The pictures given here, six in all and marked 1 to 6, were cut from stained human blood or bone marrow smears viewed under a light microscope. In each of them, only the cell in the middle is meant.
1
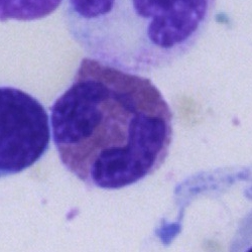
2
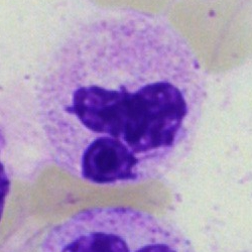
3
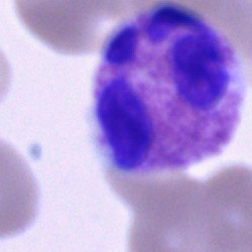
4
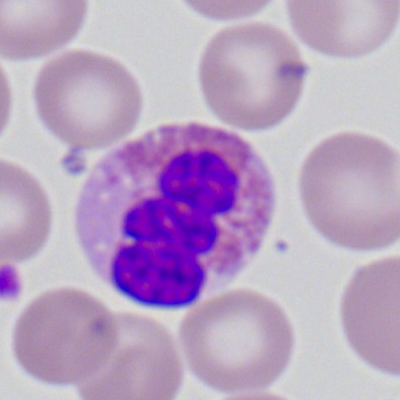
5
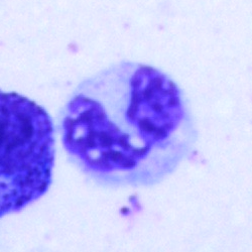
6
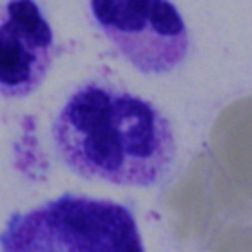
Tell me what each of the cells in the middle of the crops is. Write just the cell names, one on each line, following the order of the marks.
eosinophil
segmented neutrophil
eosinophil
eosinophil
segmented neutrophil
segmented neutrophil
